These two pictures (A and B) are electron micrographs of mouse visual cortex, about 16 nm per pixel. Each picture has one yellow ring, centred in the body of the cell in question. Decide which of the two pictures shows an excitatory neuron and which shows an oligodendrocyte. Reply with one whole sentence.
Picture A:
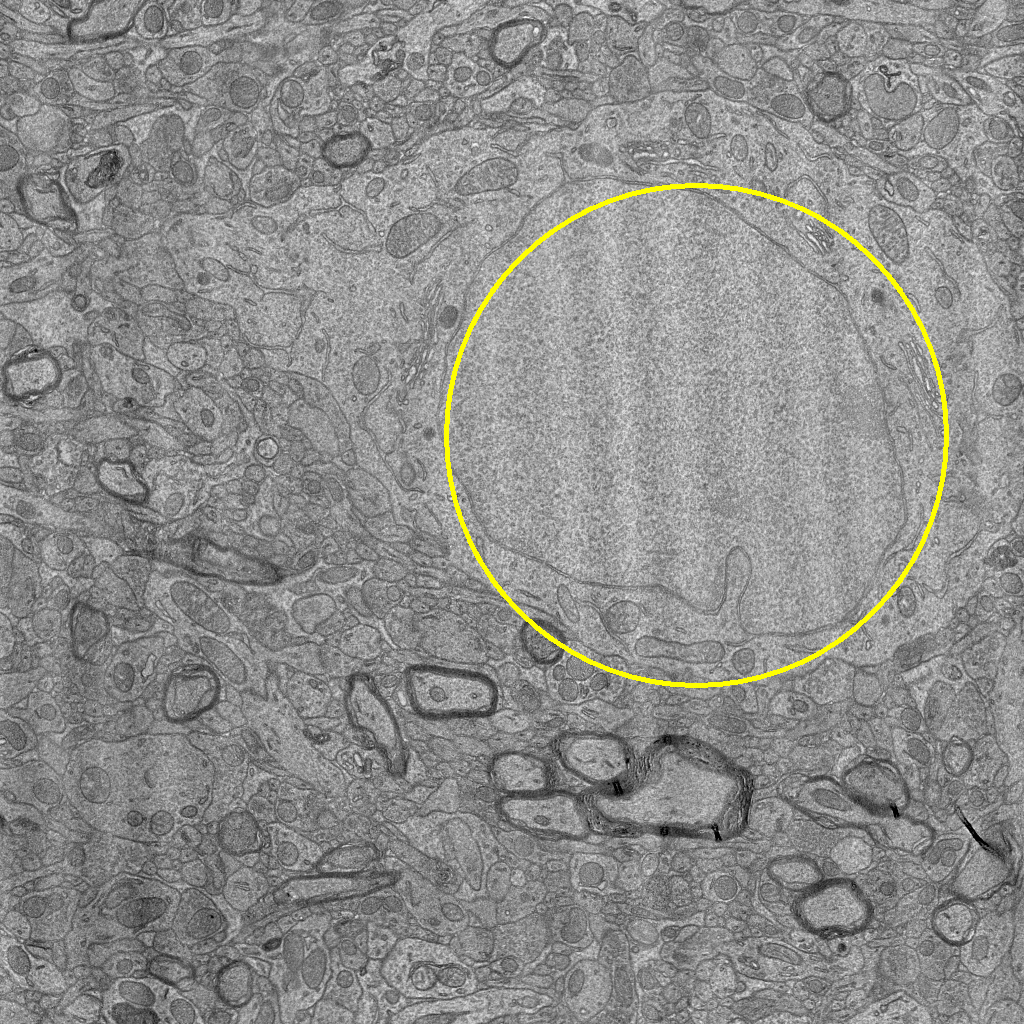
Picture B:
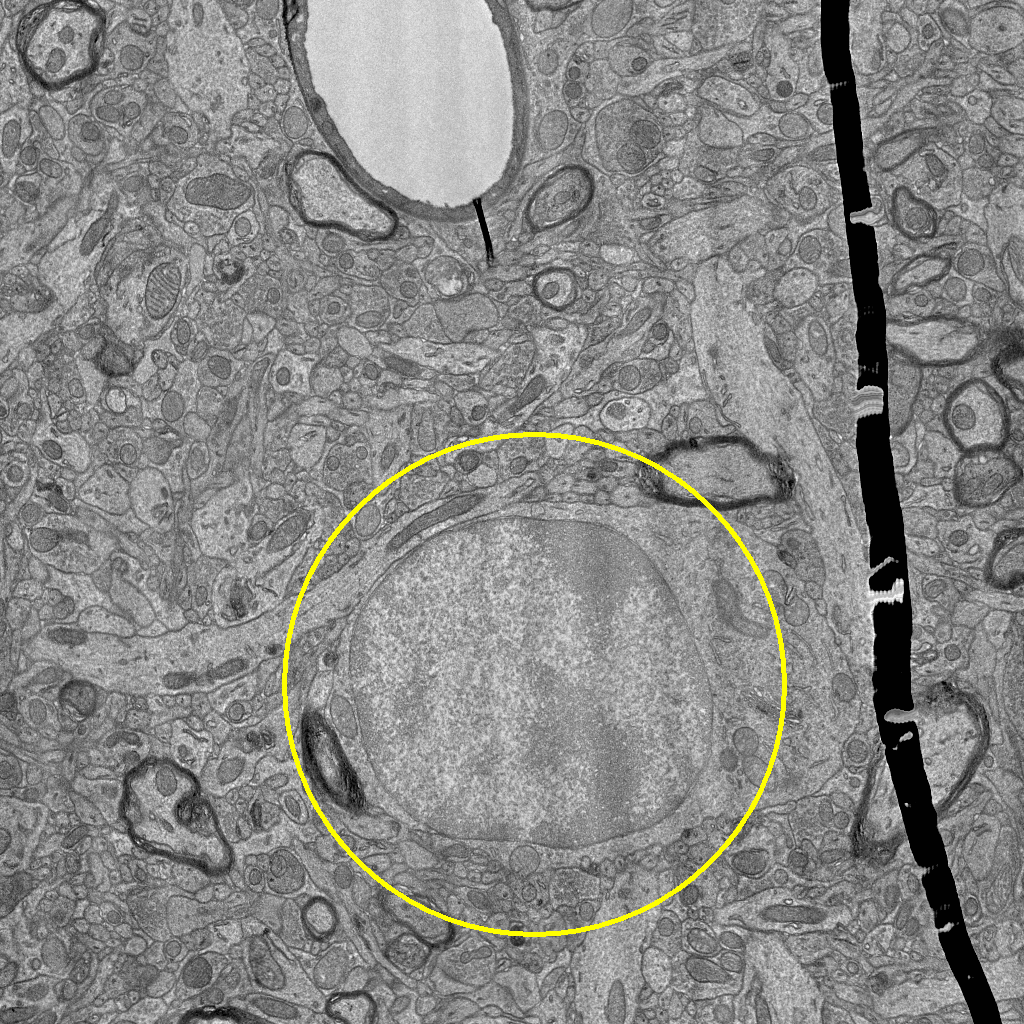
In picture A the cell is an excitatory neuron; in picture B, an oligodendrocyte.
